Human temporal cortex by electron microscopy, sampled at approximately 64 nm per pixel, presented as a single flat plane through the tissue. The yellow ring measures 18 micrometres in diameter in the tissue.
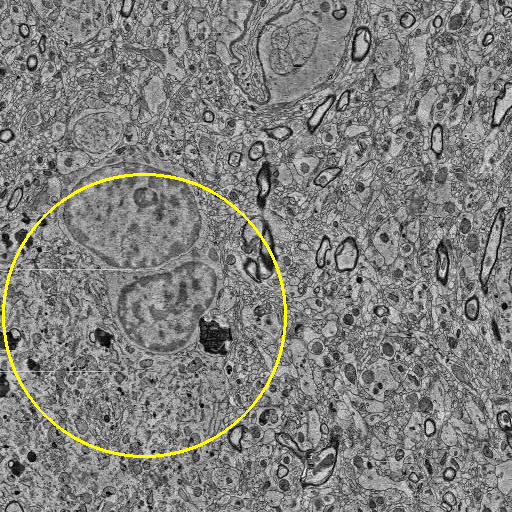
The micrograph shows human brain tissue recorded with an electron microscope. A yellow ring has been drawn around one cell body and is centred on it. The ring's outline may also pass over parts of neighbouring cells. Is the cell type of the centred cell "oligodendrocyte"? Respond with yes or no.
yes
